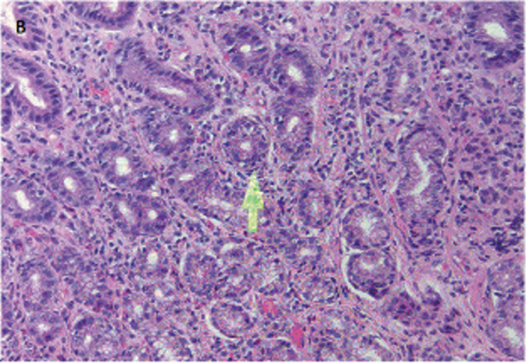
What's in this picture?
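This is gastric mucosa with closely set glands cut across, lined by columnar epithelium with basal purple nuclei. The lamina propria between the glands is widened by inflammatory cells, among them plasma cells, lymphocytes and some eosinophils with pink cytoplasm. Some glands contain small dark lymphocytes within their epithelium, and inflammatory cells crowd into at least one gland.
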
